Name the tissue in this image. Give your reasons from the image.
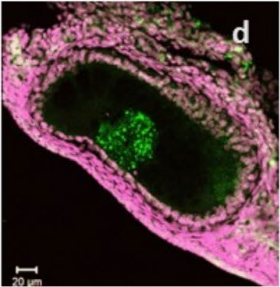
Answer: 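A large oval central cell is surrounded by layers of cells with magenta nuclei. A bright green granular cluster lies within the central cell.
Follicle.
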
